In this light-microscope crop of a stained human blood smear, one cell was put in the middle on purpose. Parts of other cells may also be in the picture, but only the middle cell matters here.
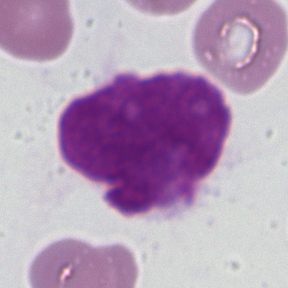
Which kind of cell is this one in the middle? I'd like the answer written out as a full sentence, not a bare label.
The centrally located cell in the crop is a smudge cell.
